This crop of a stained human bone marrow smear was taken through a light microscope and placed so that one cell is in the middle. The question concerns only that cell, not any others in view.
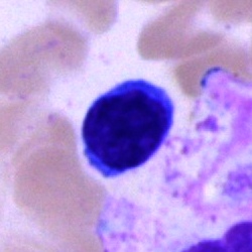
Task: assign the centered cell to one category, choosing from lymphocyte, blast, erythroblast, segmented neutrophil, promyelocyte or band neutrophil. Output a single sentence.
This crop's central cell is a lymphocyte.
